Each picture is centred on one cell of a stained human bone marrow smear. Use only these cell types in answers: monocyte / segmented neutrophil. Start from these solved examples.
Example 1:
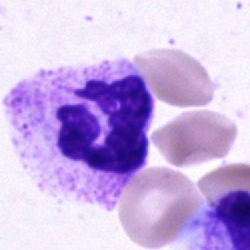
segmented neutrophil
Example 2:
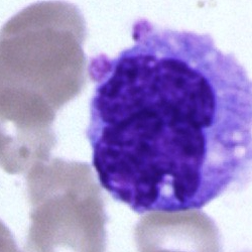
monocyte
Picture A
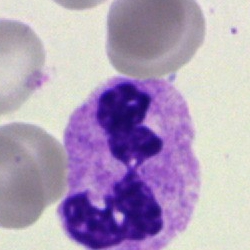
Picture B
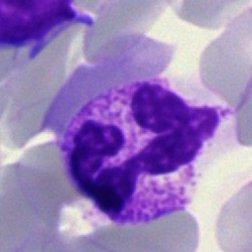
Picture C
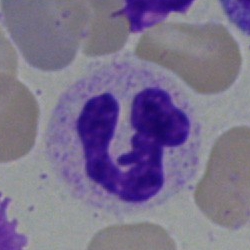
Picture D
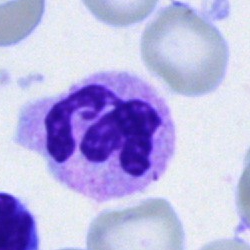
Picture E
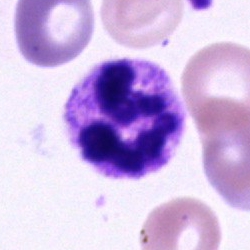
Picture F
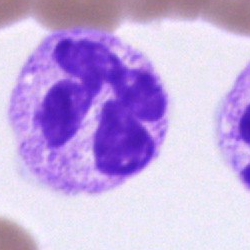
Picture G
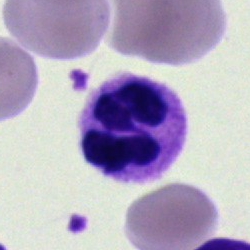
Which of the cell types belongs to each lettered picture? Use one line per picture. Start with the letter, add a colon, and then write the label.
A: segmented neutrophil
B: segmented neutrophil
C: segmented neutrophil
D: segmented neutrophil
E: segmented neutrophil
F: segmented neutrophil
G: segmented neutrophil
